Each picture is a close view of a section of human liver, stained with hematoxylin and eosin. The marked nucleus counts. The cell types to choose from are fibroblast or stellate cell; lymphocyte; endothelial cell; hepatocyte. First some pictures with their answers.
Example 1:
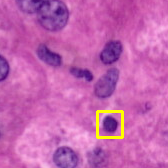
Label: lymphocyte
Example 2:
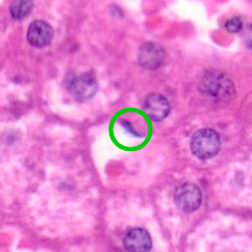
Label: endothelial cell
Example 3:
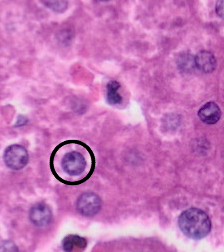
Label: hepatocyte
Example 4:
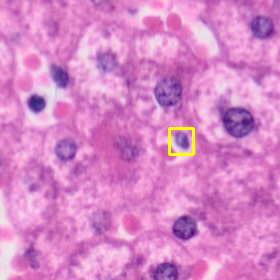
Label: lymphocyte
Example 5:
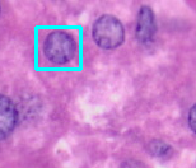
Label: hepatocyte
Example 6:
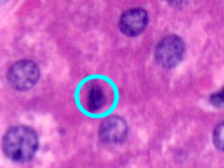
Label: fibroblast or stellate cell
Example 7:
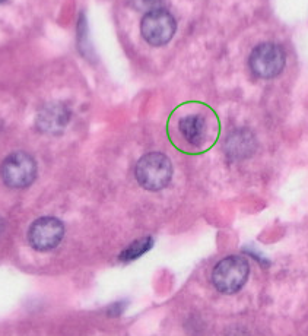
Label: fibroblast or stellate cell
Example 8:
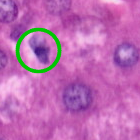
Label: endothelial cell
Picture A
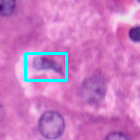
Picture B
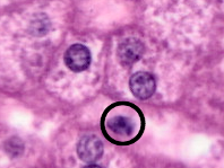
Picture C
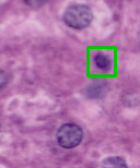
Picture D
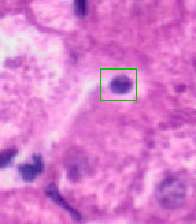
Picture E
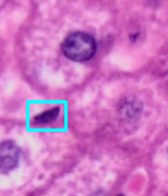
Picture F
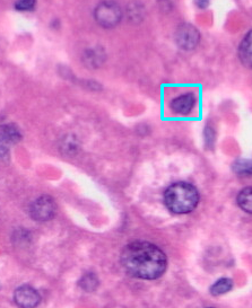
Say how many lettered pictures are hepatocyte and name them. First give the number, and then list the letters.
0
